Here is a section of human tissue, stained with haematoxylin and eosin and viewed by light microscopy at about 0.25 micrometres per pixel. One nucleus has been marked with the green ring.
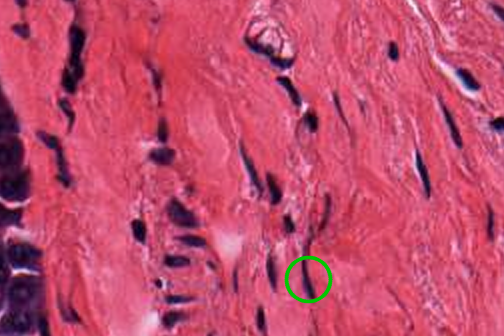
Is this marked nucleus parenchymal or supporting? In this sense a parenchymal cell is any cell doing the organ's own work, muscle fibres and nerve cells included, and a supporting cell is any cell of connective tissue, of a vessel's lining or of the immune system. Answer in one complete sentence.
The marked nucleus is the nucleus belonging to a supporting cell.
